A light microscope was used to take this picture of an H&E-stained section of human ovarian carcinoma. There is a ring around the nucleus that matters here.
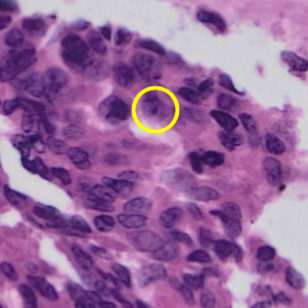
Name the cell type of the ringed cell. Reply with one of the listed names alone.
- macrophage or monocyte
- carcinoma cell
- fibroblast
carcinoma cell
